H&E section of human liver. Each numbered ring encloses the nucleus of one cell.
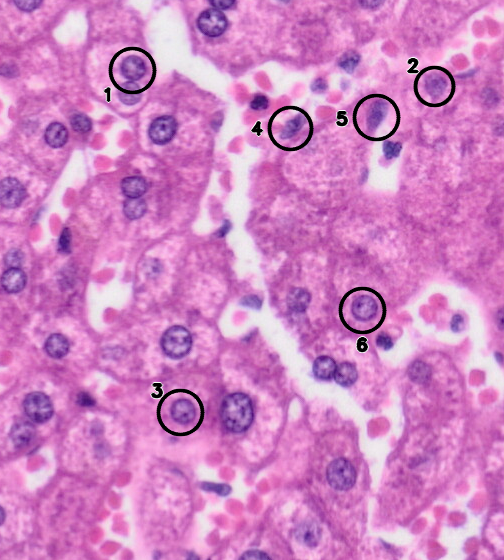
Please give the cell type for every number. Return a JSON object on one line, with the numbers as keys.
{"1": "hepatocyte", "2": "hepatocyte", "3": "hepatocyte", "4": "Kupffer cell", "5": "fibroblast or stellate cell", "6": "hepatocyte"}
